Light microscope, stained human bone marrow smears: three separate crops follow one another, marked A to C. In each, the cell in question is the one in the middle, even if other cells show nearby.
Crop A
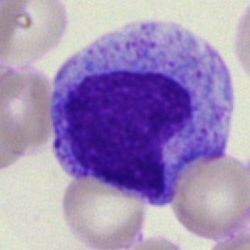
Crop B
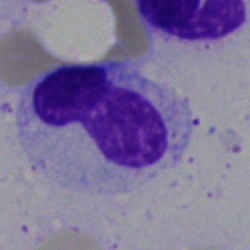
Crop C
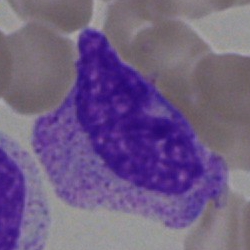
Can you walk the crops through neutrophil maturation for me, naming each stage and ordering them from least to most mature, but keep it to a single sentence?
In terms of maturity, from lowest to highest, the order reads crop C (a myelocyte), crop A (a metamyelocyte) and crop B (a band neutrophil).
